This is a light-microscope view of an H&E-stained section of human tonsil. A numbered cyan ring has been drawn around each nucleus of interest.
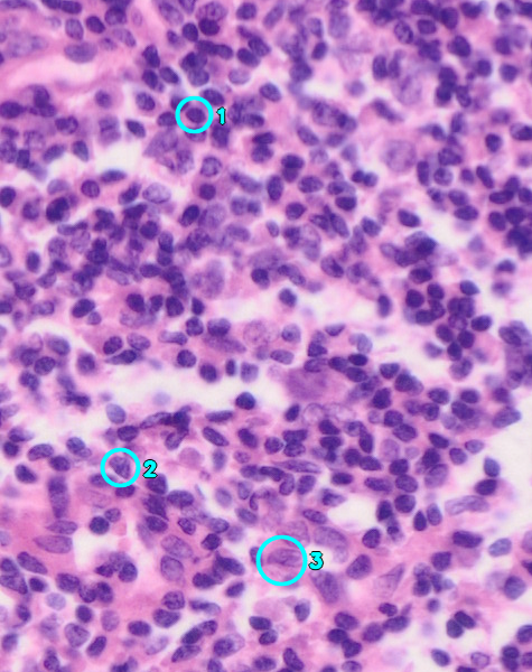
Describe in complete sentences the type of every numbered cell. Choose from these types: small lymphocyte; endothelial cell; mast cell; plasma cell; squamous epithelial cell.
Cells 1 and 2 are small lymphocytes. Cell 3 is an endothelial cell.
